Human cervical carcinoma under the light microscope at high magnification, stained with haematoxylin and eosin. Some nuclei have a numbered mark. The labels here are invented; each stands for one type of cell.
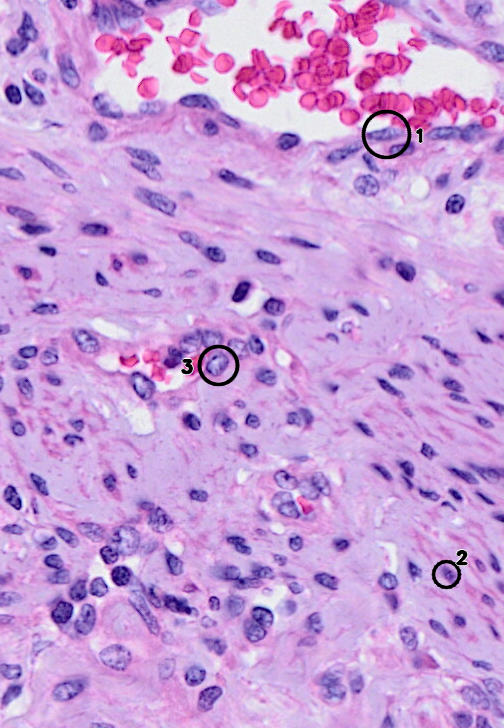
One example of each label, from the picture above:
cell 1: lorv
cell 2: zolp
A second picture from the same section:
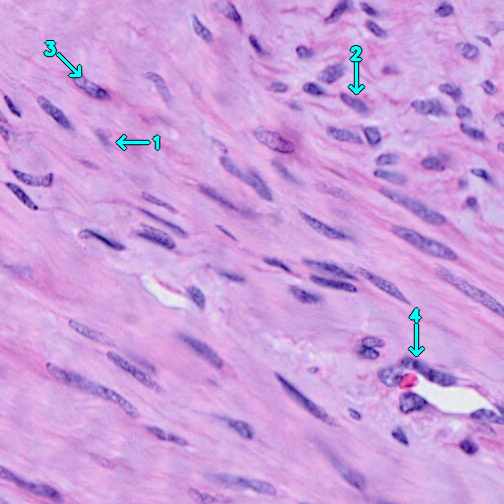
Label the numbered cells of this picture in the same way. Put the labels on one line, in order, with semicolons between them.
zolp; zolp; zolp; lorv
